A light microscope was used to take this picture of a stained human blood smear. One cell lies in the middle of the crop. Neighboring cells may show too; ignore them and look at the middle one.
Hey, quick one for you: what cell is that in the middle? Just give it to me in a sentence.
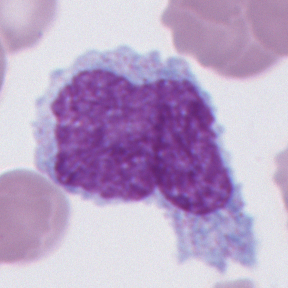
Present in the middle of the crop is a monocyte.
